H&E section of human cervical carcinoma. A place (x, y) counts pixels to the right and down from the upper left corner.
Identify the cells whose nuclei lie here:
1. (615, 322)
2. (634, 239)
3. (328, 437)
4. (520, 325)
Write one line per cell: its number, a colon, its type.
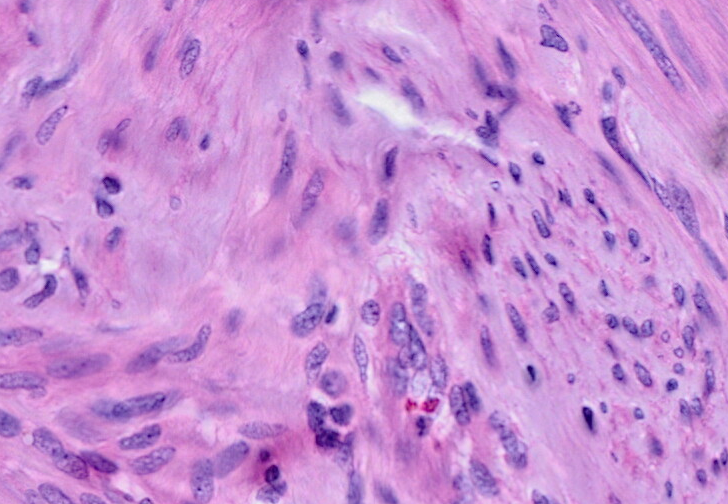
1: smooth muscle cell
2: smooth muscle cell
3: lymphocyte
4: smooth muscle cell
